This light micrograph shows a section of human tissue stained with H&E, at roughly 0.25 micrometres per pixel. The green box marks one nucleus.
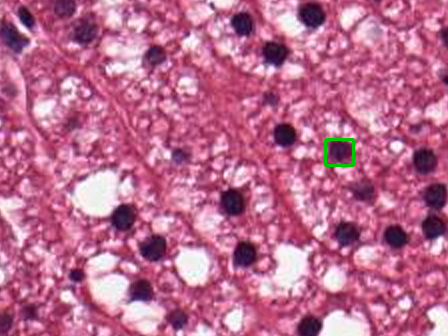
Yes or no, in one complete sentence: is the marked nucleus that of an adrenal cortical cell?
Yes, the marked nucleus is held by an adrenal cortical cell.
